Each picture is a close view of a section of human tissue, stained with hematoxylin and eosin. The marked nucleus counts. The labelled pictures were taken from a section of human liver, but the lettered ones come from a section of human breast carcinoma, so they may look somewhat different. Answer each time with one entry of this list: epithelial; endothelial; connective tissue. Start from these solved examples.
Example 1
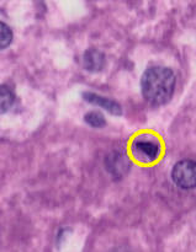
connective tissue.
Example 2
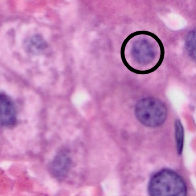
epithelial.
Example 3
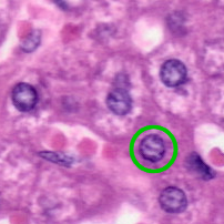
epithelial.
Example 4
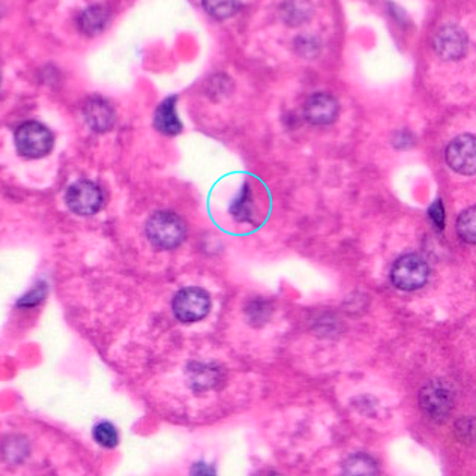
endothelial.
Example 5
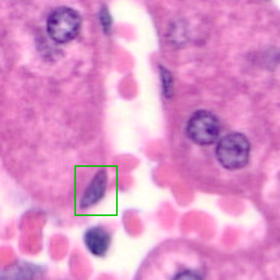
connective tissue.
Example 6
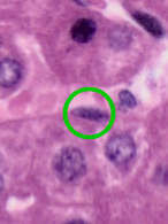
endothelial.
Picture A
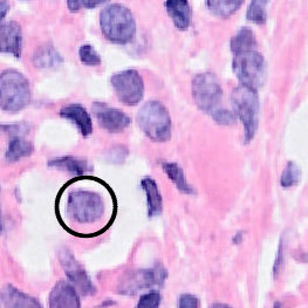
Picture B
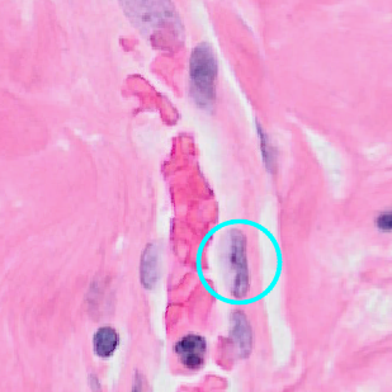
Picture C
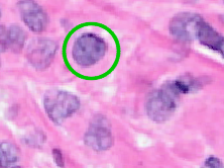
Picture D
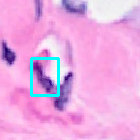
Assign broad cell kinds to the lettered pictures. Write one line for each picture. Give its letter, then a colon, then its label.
A: epithelial.
B: endothelial.
C: epithelial.
D: endothelial.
